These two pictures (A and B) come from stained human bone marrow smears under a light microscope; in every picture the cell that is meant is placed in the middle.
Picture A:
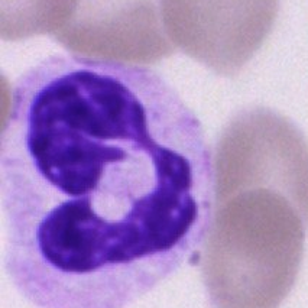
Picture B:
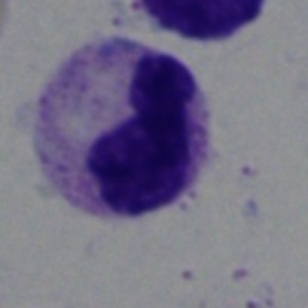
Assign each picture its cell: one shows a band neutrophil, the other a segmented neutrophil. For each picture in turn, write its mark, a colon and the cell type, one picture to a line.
A: segmented neutrophil
B: band neutrophil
